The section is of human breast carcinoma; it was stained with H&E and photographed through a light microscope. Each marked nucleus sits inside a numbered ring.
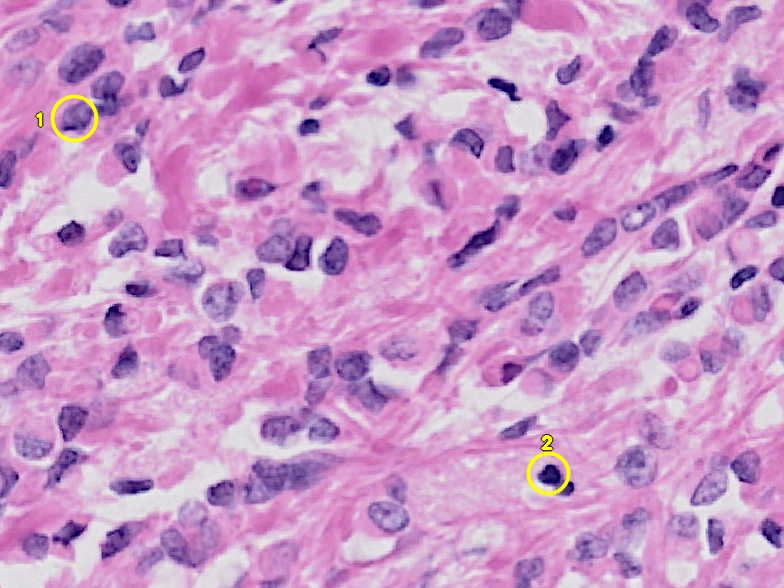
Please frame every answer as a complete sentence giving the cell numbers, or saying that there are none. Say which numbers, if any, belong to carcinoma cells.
Among the numbered nuclei, only the one labelled 1 belongs to a carcinoma cell.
